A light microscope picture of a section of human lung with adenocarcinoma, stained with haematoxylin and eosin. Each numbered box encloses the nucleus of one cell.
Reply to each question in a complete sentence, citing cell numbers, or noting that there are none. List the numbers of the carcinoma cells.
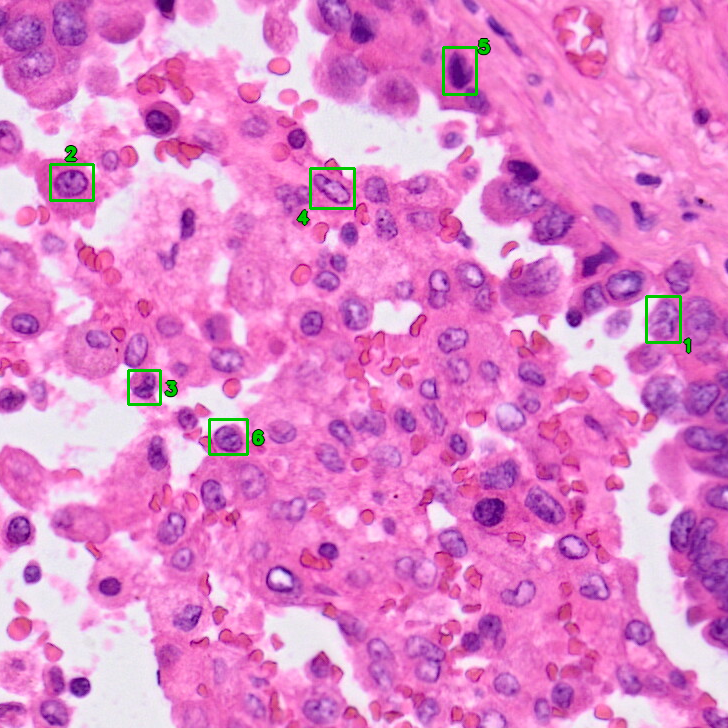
The cells that the numbers 1 and 5 belong to are carcinoma cells.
